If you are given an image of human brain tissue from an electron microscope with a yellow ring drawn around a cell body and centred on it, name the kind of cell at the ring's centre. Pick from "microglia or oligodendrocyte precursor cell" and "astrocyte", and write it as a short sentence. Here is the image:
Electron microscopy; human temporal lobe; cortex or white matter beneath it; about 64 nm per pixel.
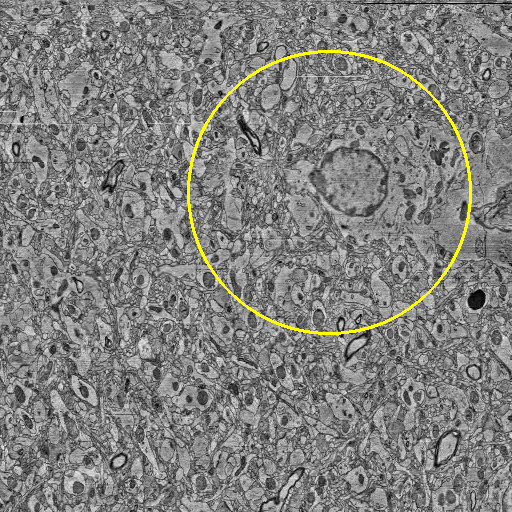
The cell at the ring's centre is a microglial cell or oligodendrocyte precursor cell.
